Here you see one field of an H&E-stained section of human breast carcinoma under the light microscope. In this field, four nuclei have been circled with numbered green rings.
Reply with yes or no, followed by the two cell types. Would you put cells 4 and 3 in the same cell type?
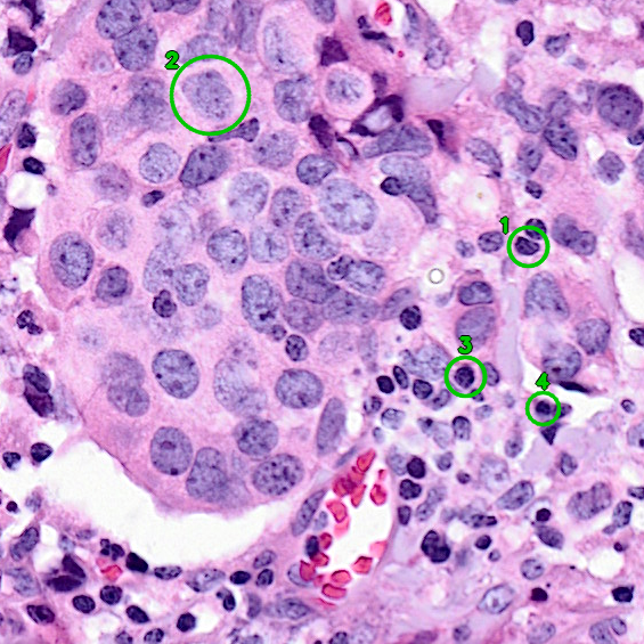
Yes, and to be precise, cells 4 and 3 are both lymphocytes.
